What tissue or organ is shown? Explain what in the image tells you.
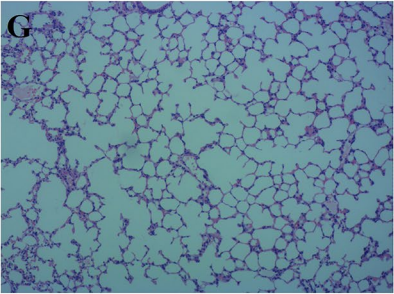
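Lung tissue. Thin-walled air spaces form a fine lace-like network. Alveolar septa are one to a few cells thick.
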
